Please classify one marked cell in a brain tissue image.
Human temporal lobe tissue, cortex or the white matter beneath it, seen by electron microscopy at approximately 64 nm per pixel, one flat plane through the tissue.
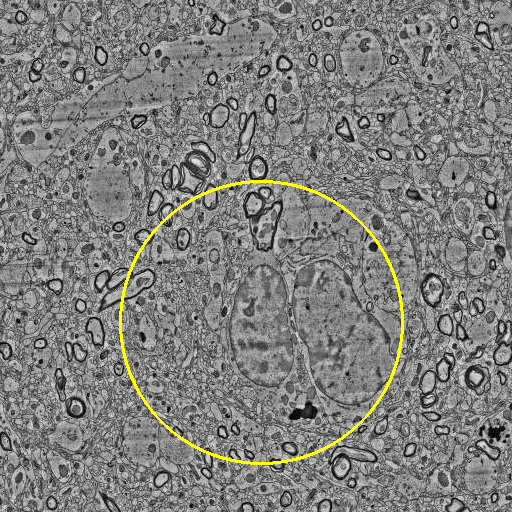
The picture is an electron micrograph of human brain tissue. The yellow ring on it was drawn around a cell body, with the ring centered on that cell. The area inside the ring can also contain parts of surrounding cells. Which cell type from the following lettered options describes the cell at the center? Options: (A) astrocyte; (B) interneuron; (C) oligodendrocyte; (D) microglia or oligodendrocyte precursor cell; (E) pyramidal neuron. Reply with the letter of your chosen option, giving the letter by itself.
C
